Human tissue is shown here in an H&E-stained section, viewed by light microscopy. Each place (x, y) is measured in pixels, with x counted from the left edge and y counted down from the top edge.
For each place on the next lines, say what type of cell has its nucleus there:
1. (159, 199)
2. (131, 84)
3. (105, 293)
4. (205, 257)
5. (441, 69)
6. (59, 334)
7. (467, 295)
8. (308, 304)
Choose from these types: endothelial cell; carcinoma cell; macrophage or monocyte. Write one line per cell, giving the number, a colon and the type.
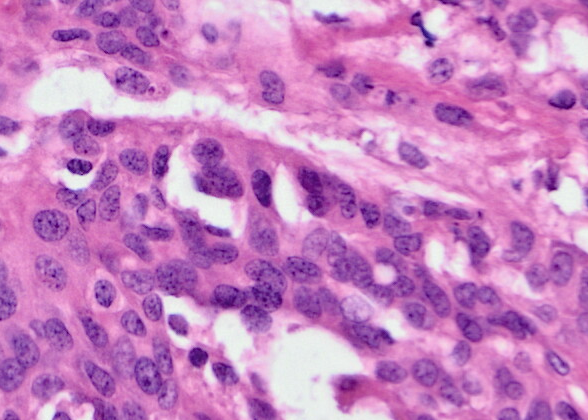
1: macrophage or monocyte
2: macrophage or monocyte
3: macrophage or monocyte
4: carcinoma cell
5: macrophage or monocyte
6: carcinoma cell
7: carcinoma cell
8: carcinoma cell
